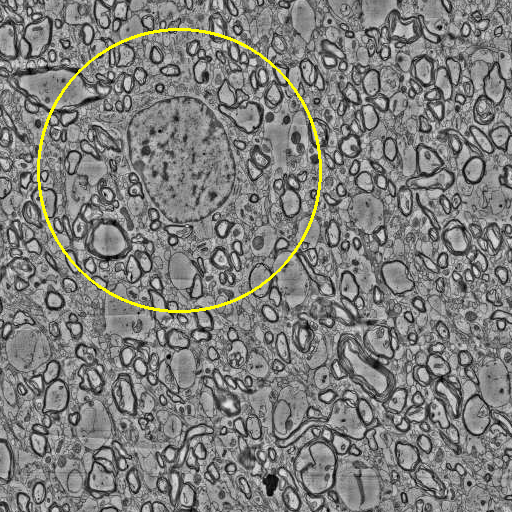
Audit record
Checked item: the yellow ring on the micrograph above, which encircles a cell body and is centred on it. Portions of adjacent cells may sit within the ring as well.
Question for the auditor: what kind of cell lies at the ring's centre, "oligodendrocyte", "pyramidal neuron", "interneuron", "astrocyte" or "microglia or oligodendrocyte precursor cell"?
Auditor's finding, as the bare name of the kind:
microglia or oligodendrocyte precursor cell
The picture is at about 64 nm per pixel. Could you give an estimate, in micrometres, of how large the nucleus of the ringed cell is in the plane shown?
Roughly 8 by 7 micrometres is the size of the nucleus in this plane.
